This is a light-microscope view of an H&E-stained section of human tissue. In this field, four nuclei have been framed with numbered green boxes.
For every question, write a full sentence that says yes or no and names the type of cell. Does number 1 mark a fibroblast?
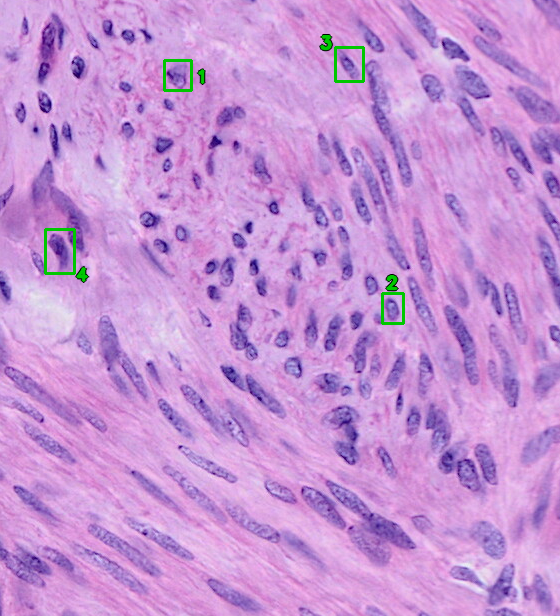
No, rather than a fibroblast, cell number 1 is a smooth muscle cell.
